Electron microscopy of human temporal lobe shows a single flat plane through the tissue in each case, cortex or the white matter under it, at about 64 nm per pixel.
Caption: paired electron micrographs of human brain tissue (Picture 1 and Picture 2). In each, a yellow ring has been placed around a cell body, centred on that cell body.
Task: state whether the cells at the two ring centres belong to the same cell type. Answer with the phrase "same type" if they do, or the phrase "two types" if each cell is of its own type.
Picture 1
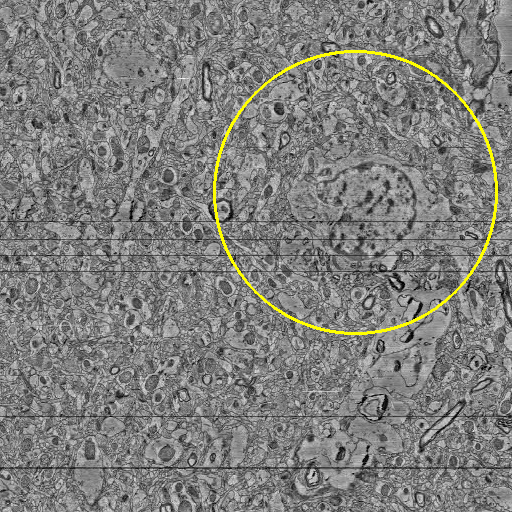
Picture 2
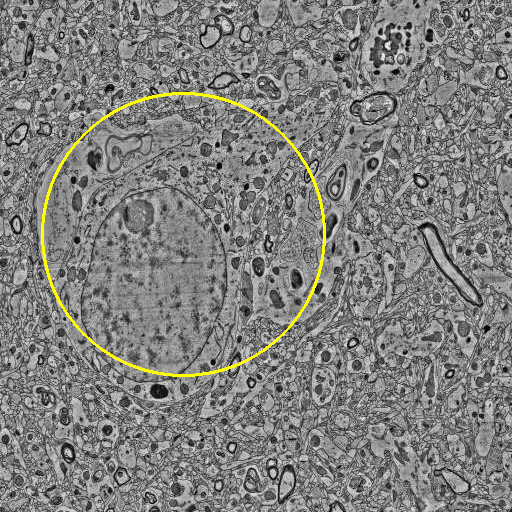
two types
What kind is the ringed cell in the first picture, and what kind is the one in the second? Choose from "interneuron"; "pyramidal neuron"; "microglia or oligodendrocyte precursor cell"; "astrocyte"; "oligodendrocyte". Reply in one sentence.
The first cell is a microglial cell or oligodendrocyte precursor cell; the second is a pyramidal neuron.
